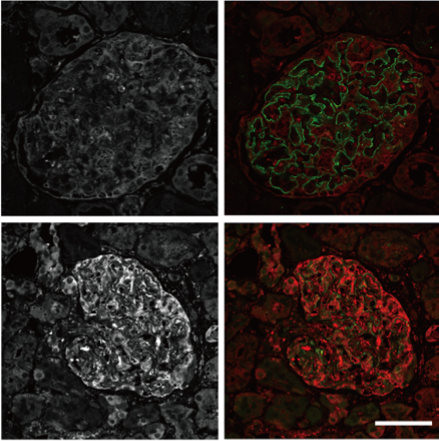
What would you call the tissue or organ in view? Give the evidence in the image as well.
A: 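A round, lobulated tuft of capillary loops fills the centre of each image. Tubule profiles lie around it.
Glomeruli.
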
